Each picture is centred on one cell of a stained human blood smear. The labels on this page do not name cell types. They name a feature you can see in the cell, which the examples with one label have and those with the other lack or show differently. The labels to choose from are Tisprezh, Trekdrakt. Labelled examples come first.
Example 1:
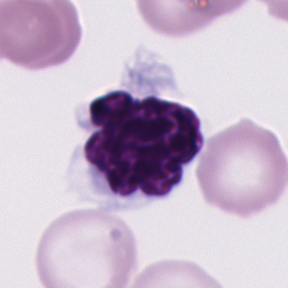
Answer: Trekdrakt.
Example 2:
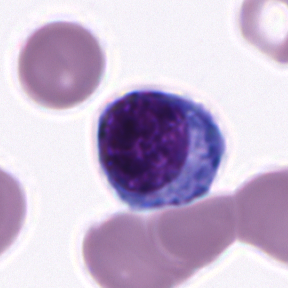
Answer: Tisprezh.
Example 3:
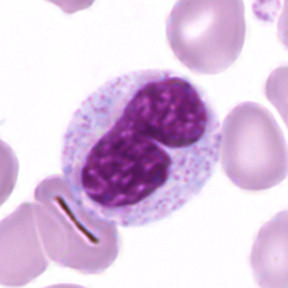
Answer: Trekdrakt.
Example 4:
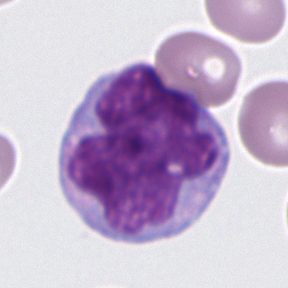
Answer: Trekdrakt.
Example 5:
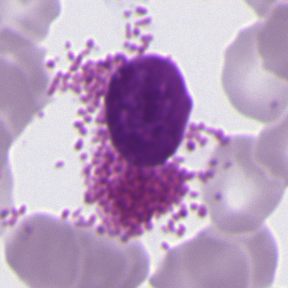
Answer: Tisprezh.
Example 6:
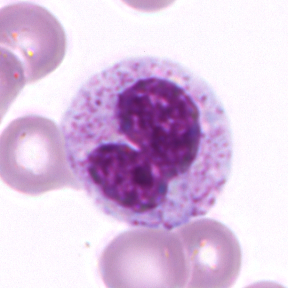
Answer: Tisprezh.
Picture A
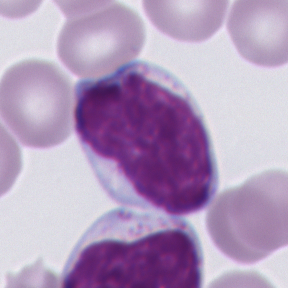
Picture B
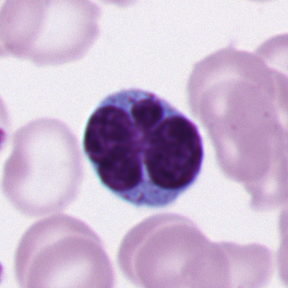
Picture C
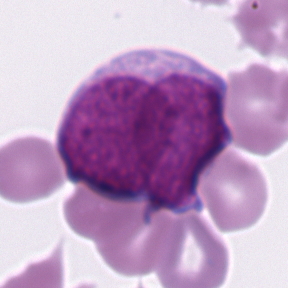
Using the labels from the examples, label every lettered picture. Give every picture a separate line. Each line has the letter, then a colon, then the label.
A: Tisprezh.
B: Trekdrakt.
C: Trekdrakt.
